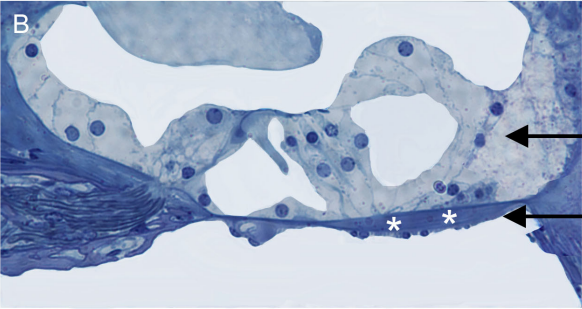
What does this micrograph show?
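This is a section through the organ of Corti resting on the basilar membrane of the cochlea, stained in shades of blue. Pale, rounded epithelial cells with dark round nuclei build up the sensory region, enclosing clear fluid-filled spaces and a tunnel between slender pillar-like cells. Beneath them runs a thin, dark-blue band, and along its underside a few flattened cells with dark nuclei lie in a narrow layer. At the left, a bundle of fine fibres fans in from the bony shelf toward the epithelium.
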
